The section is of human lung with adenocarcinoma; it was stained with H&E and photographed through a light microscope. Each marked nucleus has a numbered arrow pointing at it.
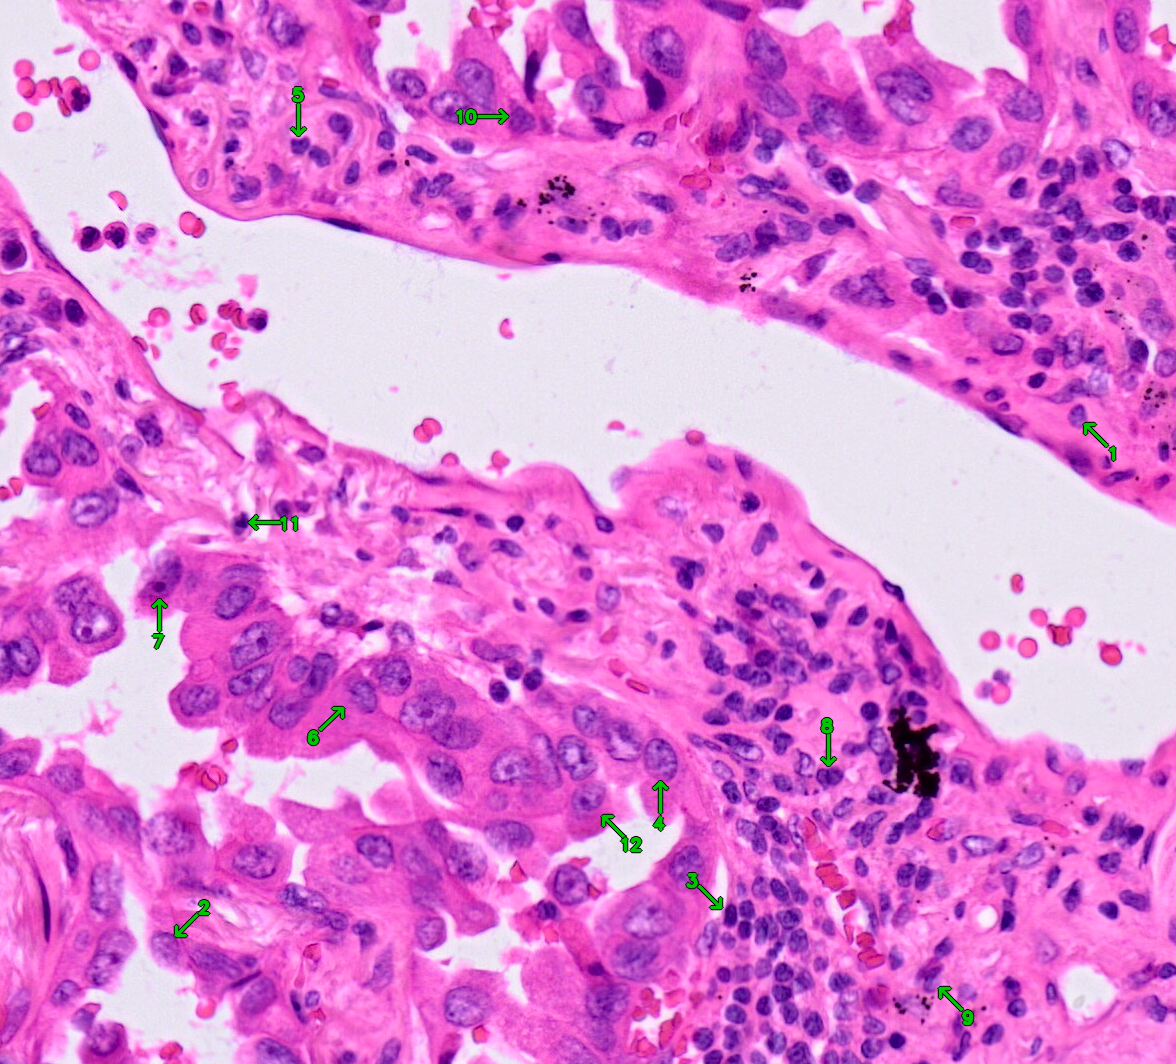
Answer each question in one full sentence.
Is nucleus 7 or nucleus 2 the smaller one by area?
Number 2 is smaller, since number 7 takes up about 2 times as much area.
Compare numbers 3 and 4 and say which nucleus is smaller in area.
Nucleus 3 covers less area, with nucleus 4 about 4 times as large.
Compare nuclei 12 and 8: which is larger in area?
Nucleus 12 covers more area, about 4 times as much as nucleus 8.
